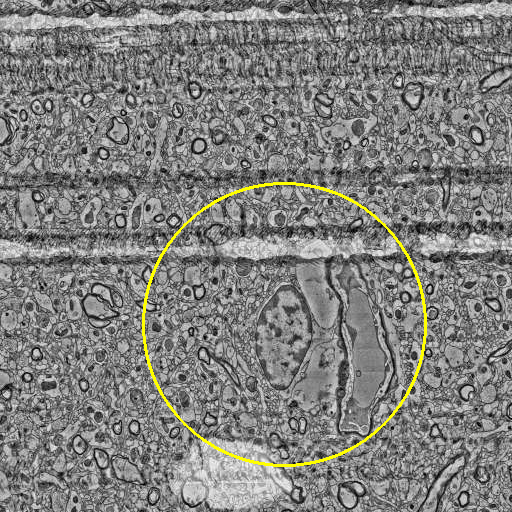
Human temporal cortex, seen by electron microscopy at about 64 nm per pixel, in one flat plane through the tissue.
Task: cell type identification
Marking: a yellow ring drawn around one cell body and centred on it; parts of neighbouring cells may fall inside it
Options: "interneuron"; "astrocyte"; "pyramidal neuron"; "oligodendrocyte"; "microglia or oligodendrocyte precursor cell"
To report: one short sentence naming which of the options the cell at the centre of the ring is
The cell at the centre of the ring is a microglial cell or oligodendrocyte precursor cell.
